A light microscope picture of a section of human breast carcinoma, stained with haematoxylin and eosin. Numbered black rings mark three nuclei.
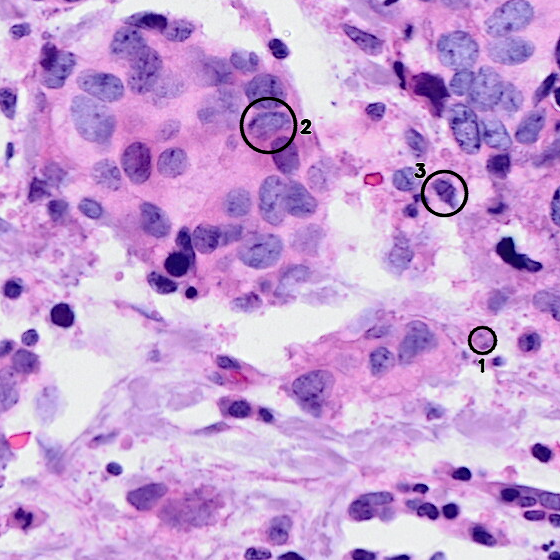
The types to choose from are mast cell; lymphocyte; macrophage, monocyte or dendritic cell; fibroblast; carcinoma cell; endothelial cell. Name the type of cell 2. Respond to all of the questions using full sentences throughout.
The cell referred to as 2 is a carcinoma cell.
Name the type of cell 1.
The one numbered 1 among the marked cells is a macrophage, monocyte or dendritic cell.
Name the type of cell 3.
The marked cell bearing number 3 is a macrophage, monocyte or dendritic cell.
